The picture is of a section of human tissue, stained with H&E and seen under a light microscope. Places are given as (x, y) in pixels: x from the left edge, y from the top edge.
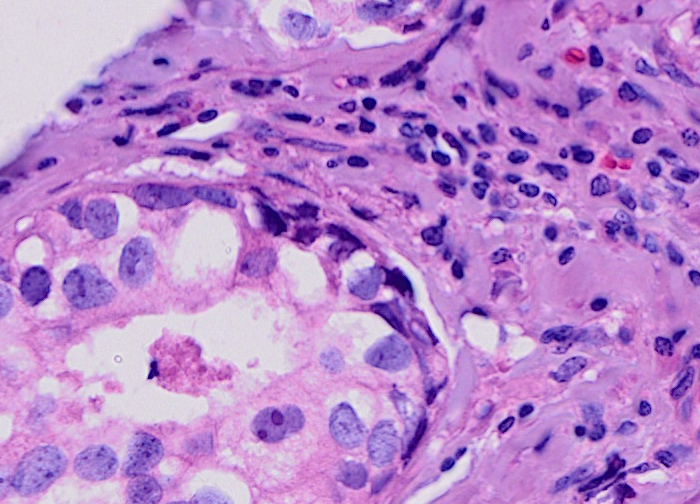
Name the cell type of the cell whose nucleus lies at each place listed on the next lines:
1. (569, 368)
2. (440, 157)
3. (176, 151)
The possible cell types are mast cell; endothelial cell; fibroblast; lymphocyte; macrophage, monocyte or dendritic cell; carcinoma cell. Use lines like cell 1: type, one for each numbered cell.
cell 1: macrophage, monocyte or dendritic cell
cell 2: lymphocyte
cell 3: fibroblast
